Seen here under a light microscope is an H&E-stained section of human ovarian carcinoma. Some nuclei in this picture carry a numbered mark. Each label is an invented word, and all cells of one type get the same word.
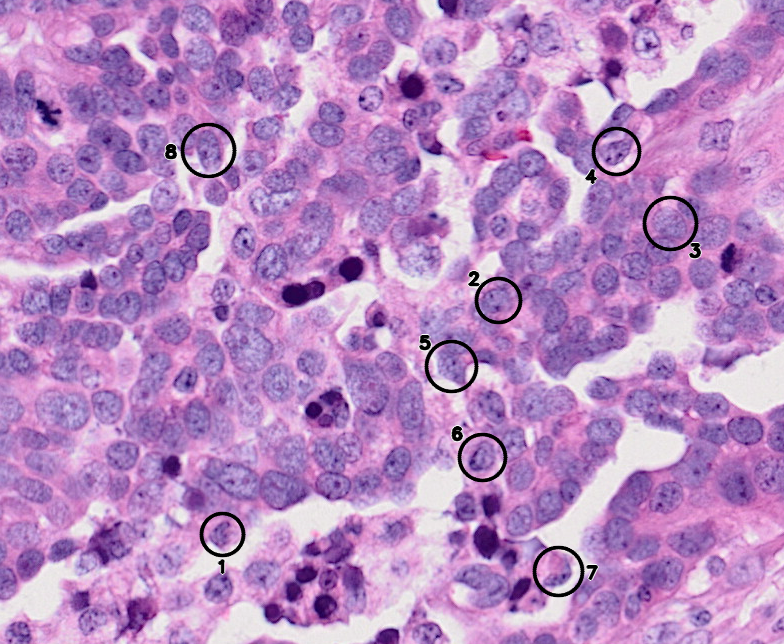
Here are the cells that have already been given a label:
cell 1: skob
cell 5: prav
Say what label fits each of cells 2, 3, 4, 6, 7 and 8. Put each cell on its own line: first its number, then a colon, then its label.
2: prav
3: prav
4: skob
6: skob
7: skob
8: prav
